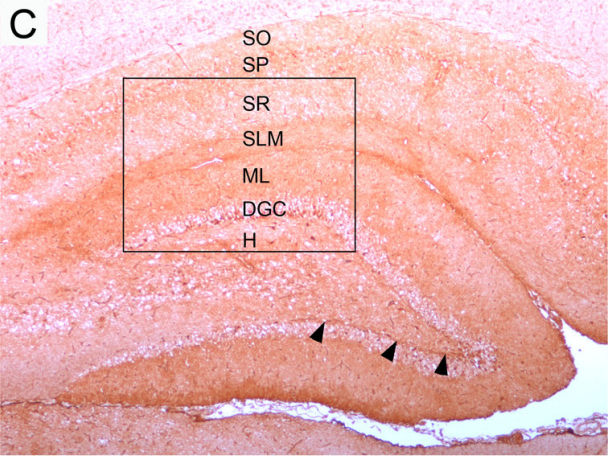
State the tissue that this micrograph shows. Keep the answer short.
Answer: hippocampus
